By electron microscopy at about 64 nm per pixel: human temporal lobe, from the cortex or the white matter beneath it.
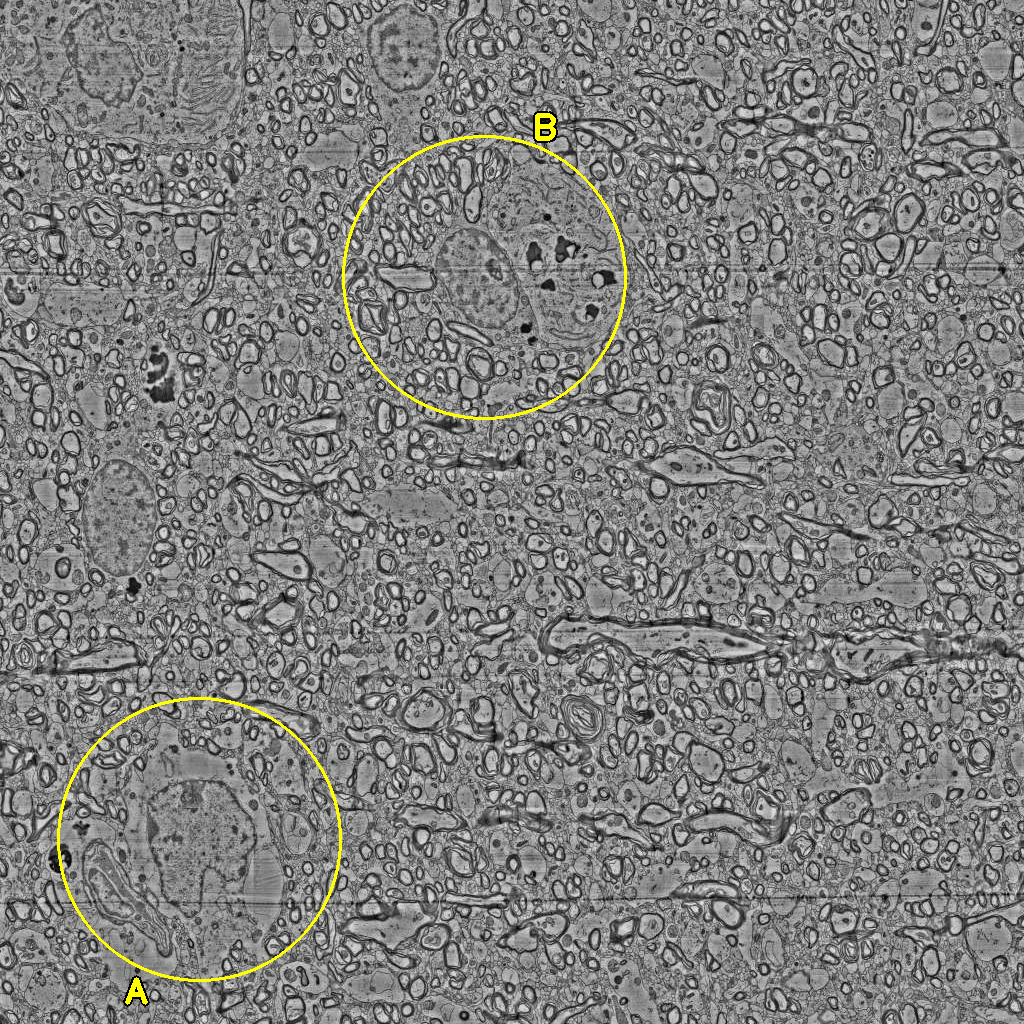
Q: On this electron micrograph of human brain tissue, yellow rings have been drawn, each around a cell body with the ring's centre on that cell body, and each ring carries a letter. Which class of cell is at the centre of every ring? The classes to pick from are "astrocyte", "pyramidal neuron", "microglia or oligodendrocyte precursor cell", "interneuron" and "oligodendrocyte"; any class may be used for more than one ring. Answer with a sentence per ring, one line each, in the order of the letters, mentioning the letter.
The centre of ring A is occupied by an astrocyte.
The centre of ring B is occupied by an oligodendrocyte.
